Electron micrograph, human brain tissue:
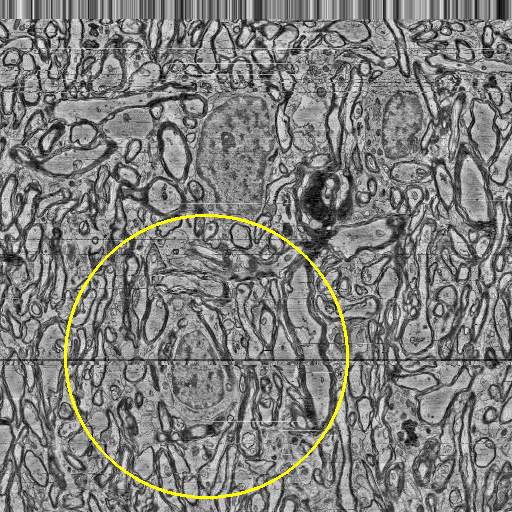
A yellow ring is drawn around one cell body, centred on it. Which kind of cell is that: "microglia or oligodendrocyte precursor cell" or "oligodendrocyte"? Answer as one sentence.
It is a microglial cell or oligodendrocyte precursor cell at the centre of the ring.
